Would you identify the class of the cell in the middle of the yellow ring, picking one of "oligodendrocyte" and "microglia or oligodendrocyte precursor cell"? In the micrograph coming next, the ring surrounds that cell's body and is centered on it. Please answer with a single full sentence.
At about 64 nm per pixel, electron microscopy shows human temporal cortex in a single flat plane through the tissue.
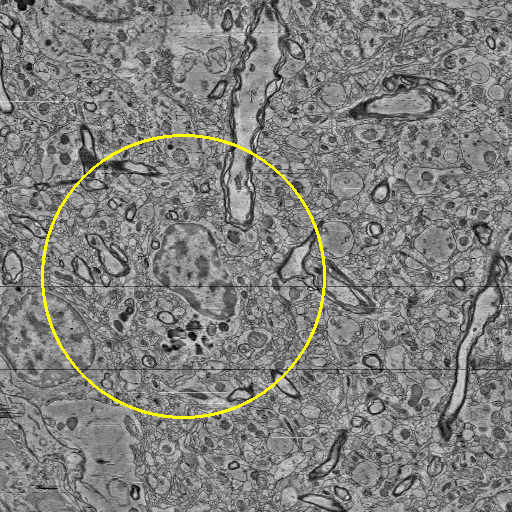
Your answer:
In the micrograph, it is a microglial cell or oligodendrocyte precursor cell whose body lies at the ring's center.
